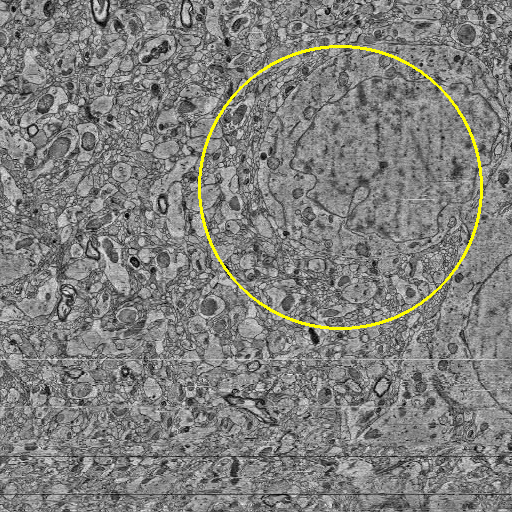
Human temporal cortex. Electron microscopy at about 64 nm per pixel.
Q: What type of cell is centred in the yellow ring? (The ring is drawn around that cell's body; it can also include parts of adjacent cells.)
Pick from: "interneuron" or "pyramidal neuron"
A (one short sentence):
The yellow ring is centred on an interneuron.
